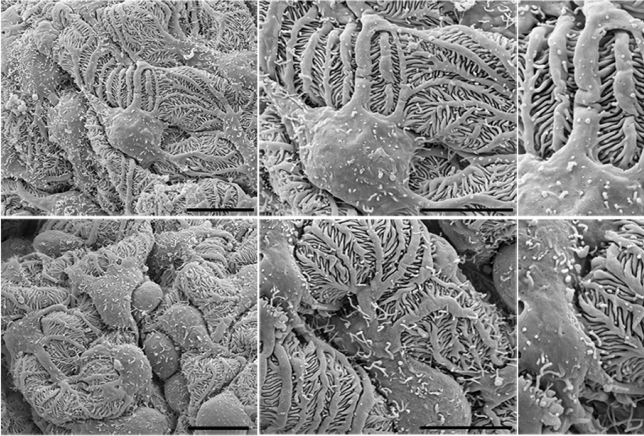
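Surface views of glomerular capillary loops covered by podocytes, seen at three increasing magnifications. Rounded, dome-like cell bodies sit on the outer surface of the capillary loops. From each cell body, thick primary processes run outward and branch over the loops. From these arise many slender foot processes that interdigitate with those of neighbouring processes in a regular comb-like pattern.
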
